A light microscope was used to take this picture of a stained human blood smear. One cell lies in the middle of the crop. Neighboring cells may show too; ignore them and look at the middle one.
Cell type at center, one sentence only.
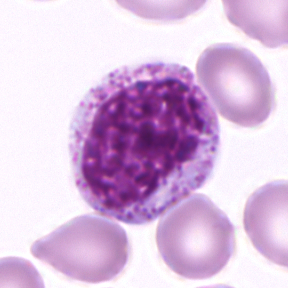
The cell under consideration, at the middle of the crop, is a metamyelocyte.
